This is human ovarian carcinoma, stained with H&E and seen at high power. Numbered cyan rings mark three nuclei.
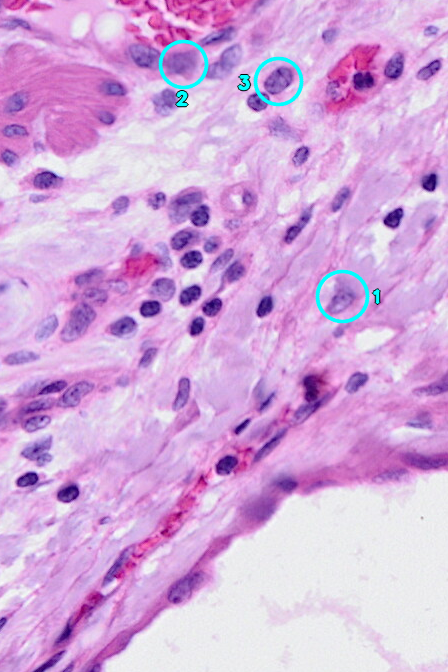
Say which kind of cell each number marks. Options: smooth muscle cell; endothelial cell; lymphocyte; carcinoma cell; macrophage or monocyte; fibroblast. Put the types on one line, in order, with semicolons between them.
fibroblast; endothelial cell; macrophage or monocyte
